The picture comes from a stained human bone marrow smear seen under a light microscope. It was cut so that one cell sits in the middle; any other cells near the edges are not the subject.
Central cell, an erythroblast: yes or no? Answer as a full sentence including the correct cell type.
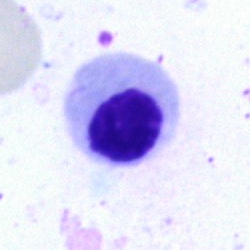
Yes, what sits in the centre of the crop is an erythroblast.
